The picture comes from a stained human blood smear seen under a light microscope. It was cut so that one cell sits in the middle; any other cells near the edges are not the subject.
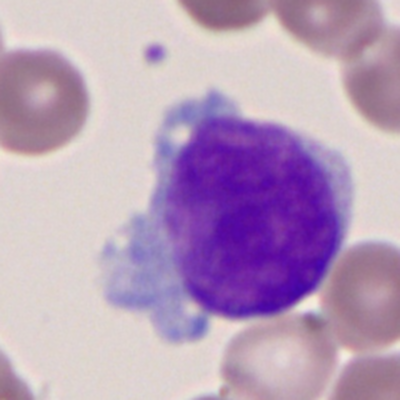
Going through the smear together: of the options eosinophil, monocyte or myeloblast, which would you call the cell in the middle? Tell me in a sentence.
The middle of this crop holds a myeloblast.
